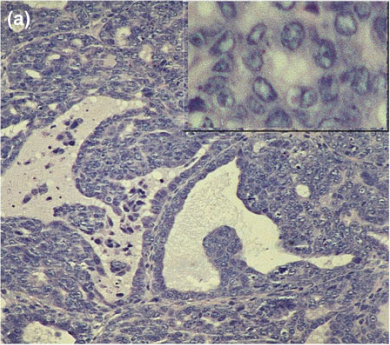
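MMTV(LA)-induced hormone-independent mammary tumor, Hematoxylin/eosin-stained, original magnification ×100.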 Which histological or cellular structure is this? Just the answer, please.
Papillary formations into lumen of cystic ducts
